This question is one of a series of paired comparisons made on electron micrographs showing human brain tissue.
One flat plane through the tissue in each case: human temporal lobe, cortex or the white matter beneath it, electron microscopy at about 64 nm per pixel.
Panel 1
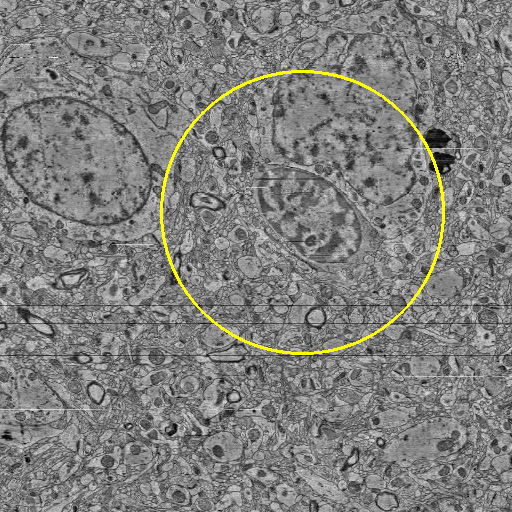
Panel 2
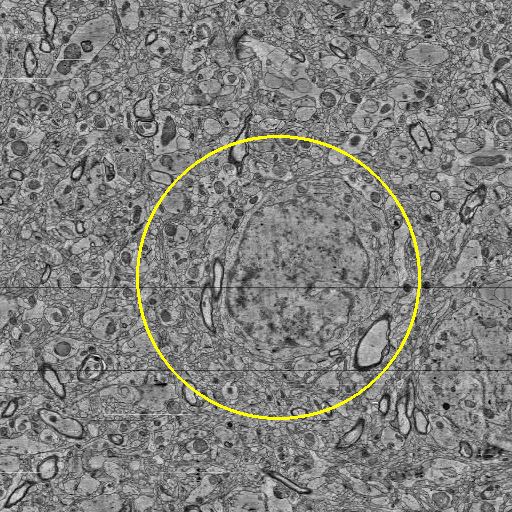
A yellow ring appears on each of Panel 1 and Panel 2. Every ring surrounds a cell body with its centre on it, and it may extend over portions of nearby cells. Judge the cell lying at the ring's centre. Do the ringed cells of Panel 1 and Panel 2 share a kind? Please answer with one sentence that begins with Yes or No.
No, the ring-centre cell in Panel 1 and the one in Panel 2 are of two kinds.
